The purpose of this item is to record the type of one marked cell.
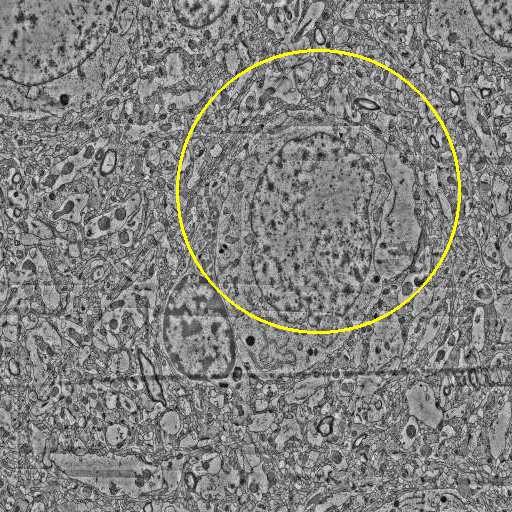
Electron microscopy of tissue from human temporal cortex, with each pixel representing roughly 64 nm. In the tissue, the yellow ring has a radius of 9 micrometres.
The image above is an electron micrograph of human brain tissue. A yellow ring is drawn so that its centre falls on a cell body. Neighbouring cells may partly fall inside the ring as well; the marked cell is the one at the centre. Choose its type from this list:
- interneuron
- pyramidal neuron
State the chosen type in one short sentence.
What the ring marks here is an interneuron.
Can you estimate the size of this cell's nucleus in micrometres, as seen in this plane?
Roughly 12 by 8 micrometres in this plane, for the nucleus of the ringed cell.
